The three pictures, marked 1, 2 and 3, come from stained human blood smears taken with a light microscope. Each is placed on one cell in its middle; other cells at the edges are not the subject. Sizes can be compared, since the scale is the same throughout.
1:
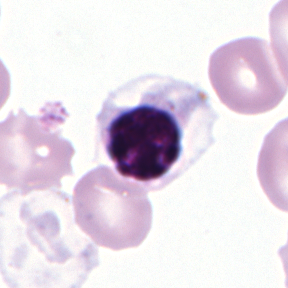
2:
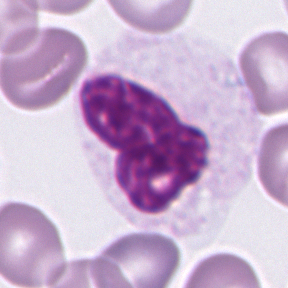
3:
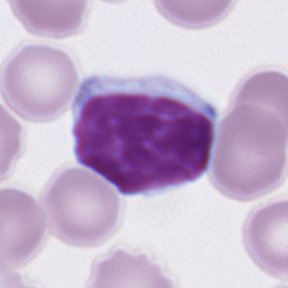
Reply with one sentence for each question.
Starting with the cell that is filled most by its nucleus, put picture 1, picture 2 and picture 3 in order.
They run 3, 1, 2, the most filled first.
